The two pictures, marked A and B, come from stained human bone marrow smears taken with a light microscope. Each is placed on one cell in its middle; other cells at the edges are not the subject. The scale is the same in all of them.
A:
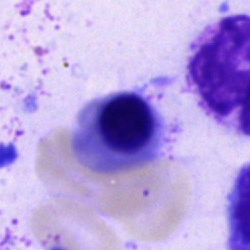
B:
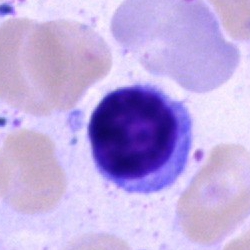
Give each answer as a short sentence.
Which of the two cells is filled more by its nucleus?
It is the cell in crop B that is filled more by its nucleus.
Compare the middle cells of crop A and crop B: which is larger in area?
It is the cell in crop B, about 1.5 times as large in area as the cell in crop A.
